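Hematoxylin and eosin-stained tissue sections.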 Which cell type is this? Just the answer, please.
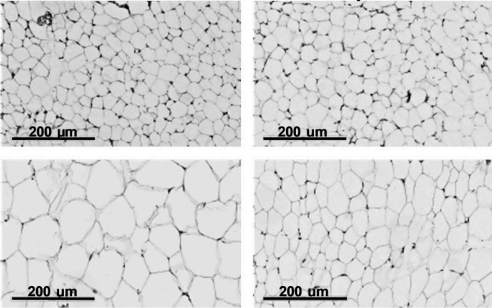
Adipocyte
